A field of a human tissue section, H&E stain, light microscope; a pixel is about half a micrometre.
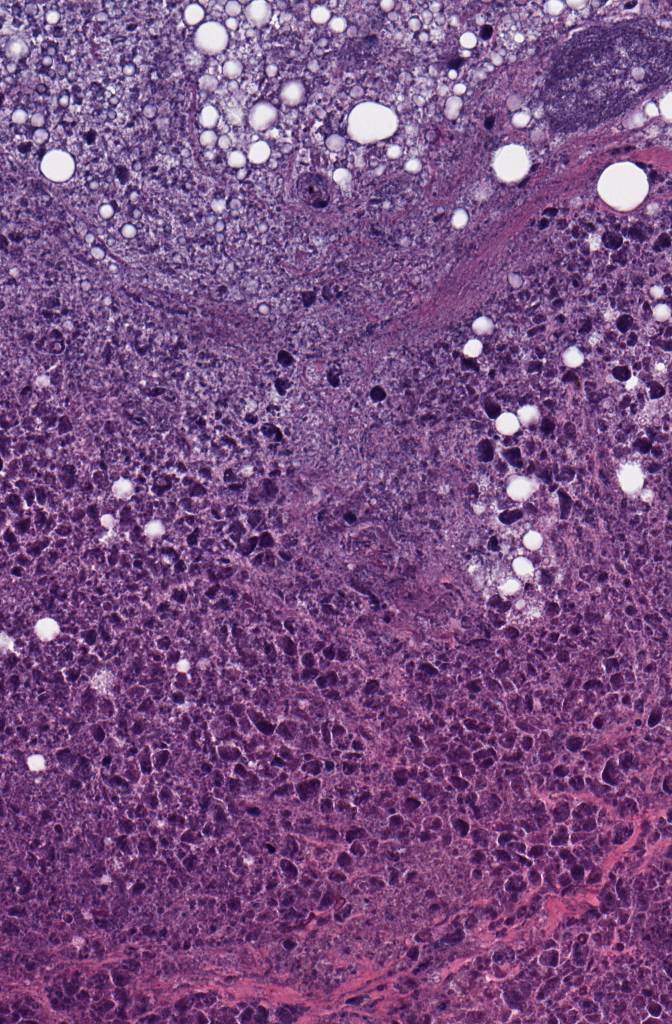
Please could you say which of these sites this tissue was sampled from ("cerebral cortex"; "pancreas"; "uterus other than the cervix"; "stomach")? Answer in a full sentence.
The site this tissue was sampled from is the pancreas.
